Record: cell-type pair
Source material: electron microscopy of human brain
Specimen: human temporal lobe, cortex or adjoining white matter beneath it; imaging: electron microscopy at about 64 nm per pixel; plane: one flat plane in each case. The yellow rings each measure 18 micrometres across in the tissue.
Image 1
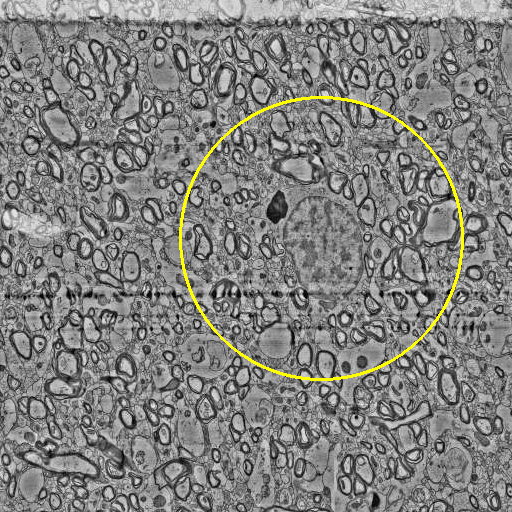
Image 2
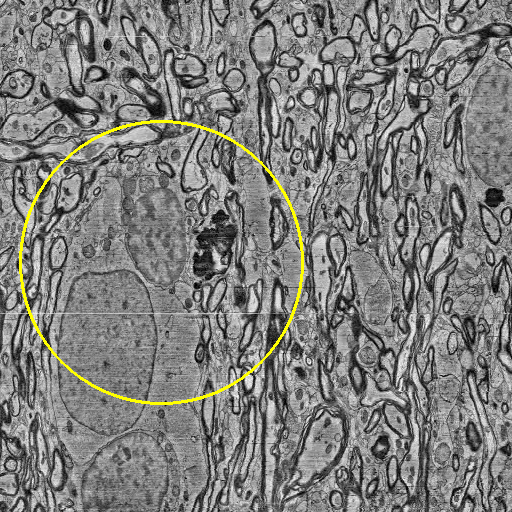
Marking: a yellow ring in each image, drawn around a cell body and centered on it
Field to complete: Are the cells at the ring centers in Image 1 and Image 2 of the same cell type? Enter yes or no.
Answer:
yes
